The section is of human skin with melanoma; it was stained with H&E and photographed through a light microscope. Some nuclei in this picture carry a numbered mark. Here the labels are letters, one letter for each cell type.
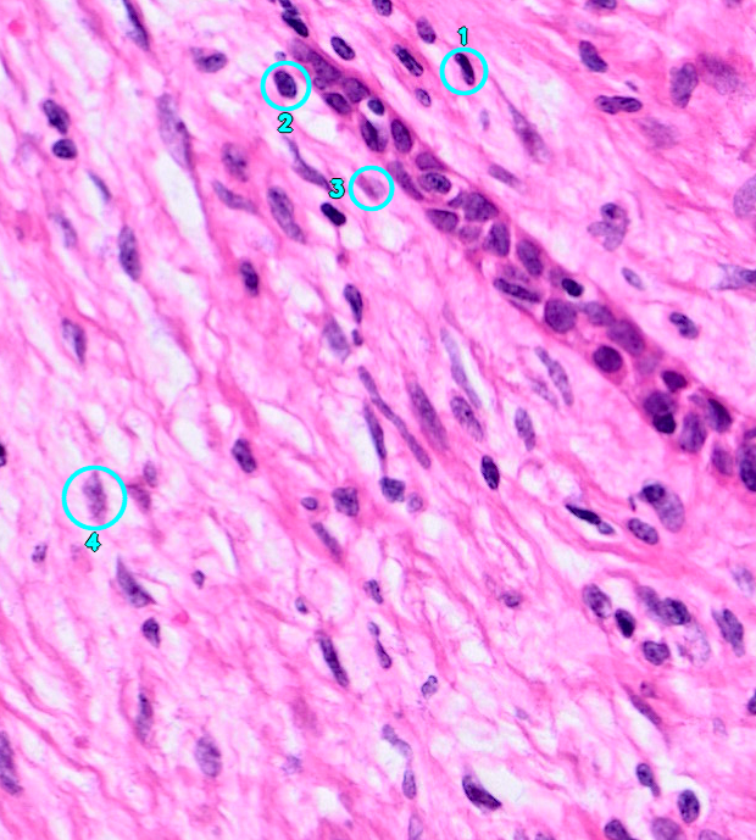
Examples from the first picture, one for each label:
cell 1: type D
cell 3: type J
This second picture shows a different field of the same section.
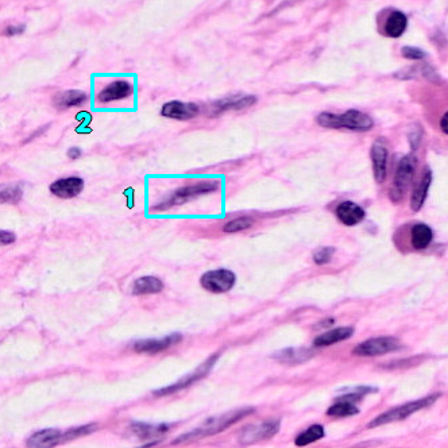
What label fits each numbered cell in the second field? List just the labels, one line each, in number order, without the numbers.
type J
type D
